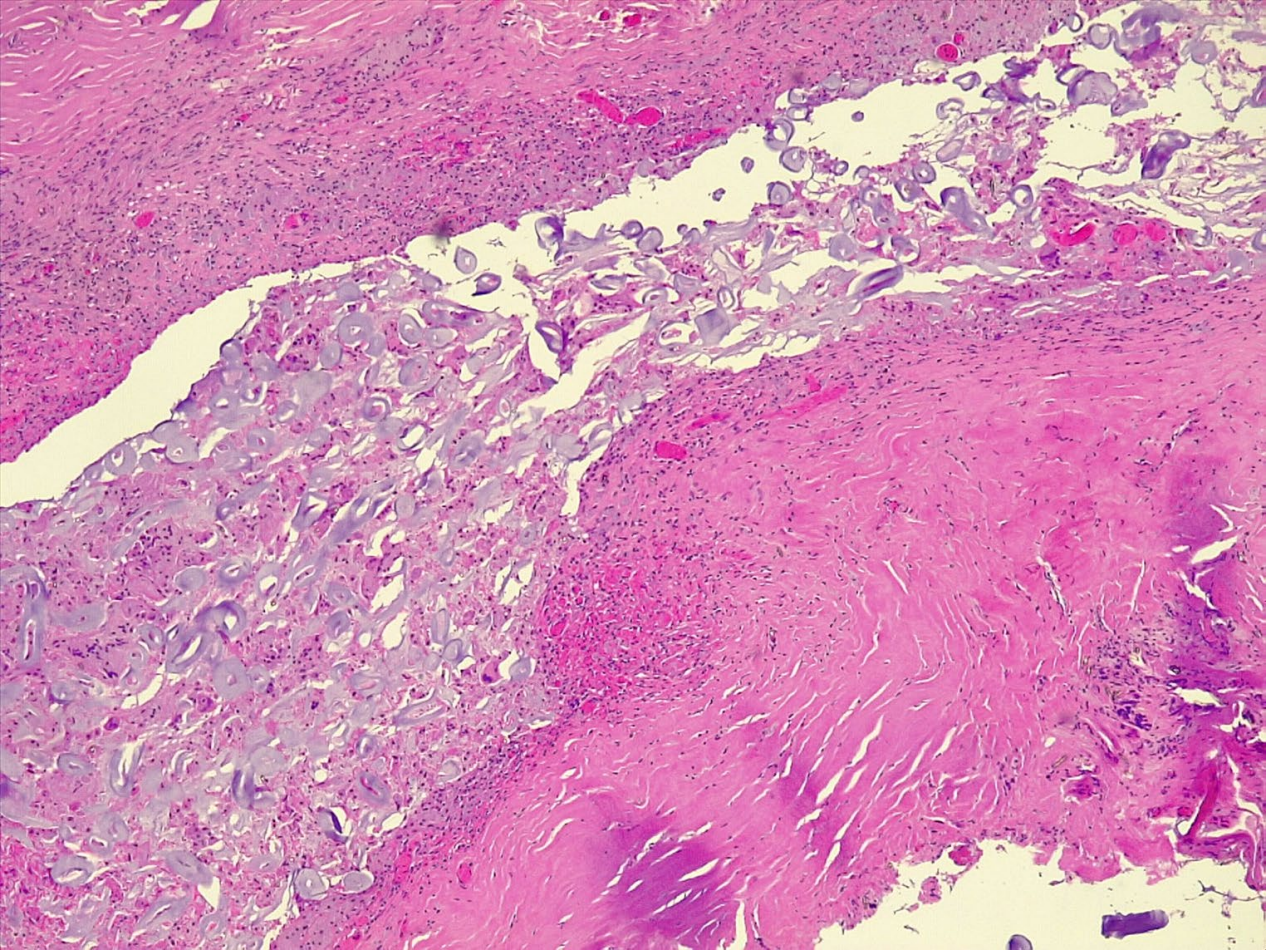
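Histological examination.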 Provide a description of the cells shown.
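This is a low-power section of dense fibrous tissue, with broad bands of wavy pink collagen holding scattered small, elongated nuclei. A cleft-like space runs diagonally across it. Along and below the cleft, many pale violet, rounded and curved fragments of glassy foreign material are set in a loose, cell-rich stroma. Small nuclei crowd the edges of this material, marking an inflammatory reaction around it.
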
